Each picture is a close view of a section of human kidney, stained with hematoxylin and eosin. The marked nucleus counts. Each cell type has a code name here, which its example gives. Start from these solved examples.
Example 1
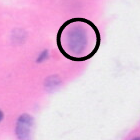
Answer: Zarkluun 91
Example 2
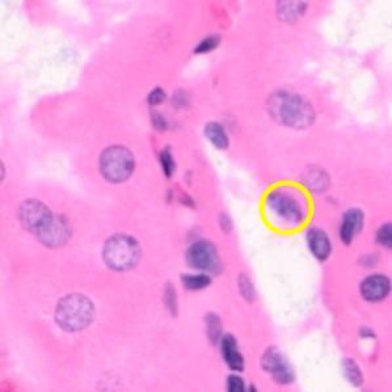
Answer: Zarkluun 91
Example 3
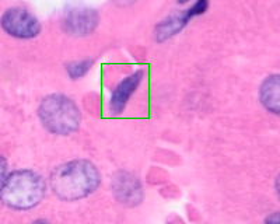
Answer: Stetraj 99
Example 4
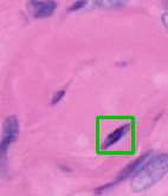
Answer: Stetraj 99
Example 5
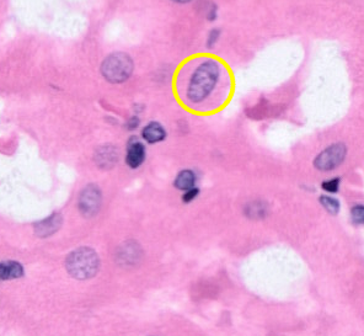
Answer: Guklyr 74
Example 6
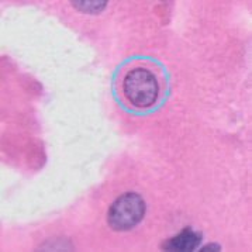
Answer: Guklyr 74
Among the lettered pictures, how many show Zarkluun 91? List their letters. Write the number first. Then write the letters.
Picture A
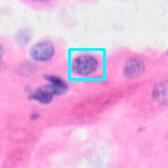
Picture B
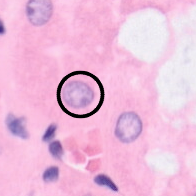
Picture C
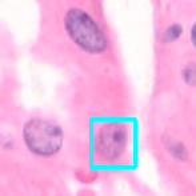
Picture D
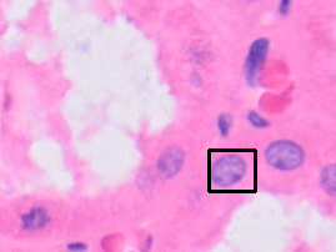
Count: 1 (A)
